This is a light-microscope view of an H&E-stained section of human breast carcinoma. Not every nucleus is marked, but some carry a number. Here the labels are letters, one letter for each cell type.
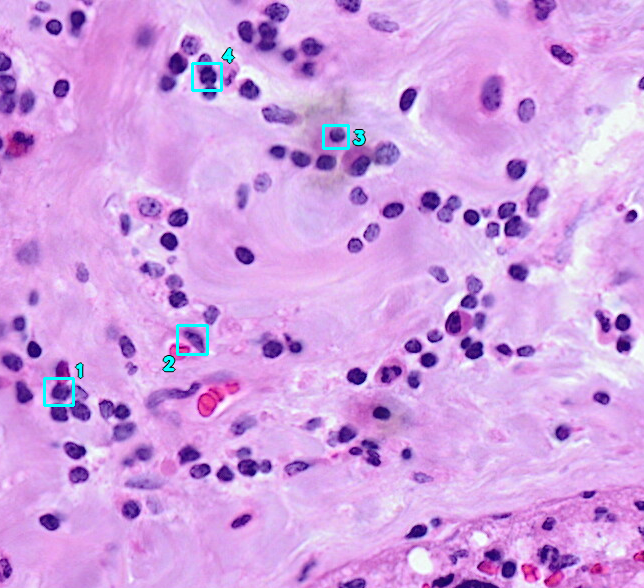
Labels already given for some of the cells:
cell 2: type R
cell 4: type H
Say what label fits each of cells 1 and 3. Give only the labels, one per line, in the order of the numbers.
type H
type H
